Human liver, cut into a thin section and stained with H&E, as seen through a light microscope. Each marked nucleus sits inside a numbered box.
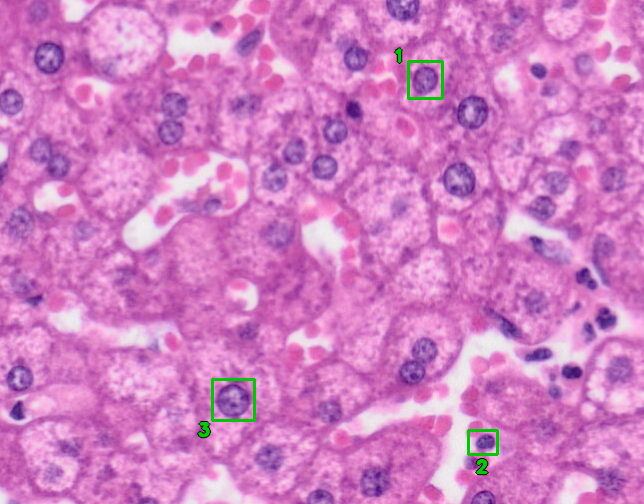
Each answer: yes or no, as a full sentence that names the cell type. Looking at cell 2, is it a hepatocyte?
No, the cell with the number 2 is a lymphocyte, not a hepatocyte.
